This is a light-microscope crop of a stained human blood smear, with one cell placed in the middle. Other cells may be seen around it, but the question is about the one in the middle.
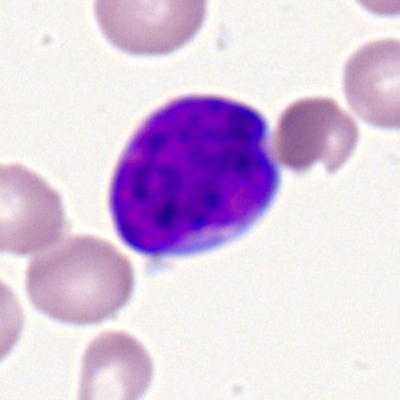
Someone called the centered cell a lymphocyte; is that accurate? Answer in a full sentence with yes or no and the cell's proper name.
No, this cell in the middle is a myeloblast, so it is not a lymphocyte.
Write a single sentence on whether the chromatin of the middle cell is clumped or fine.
This nucleus has coarsely clumped chromatin.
